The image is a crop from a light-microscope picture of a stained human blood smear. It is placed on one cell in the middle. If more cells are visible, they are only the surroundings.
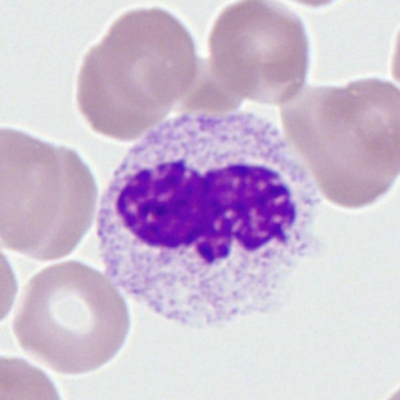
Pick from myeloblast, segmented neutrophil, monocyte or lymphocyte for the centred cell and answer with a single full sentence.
The cell found in the middle of this crop is a segmented neutrophil.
